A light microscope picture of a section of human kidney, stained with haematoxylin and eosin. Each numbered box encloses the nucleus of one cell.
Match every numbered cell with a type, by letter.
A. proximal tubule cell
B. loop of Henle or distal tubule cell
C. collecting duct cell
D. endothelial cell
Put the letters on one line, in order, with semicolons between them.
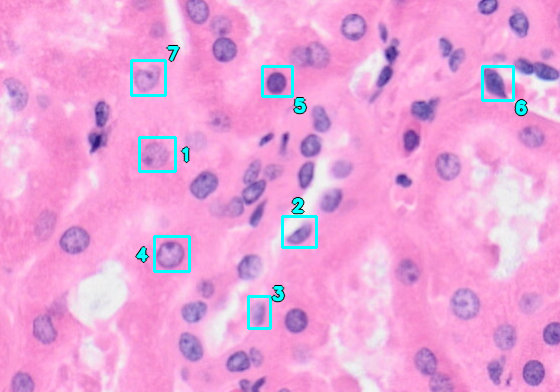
A; C; C; A; A; D; A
